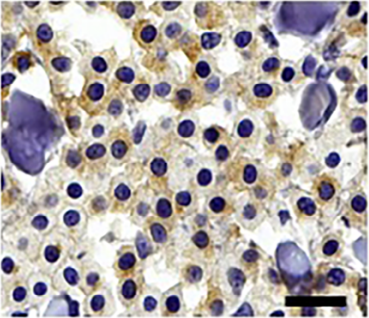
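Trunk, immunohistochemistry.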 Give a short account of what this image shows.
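This is a mast cell tumour made of loosely arranged round cells. Each cell has a round, dark blue nucleus, usually central, surrounded by a rim of pale cytoplasm. Brown stain lies as fine dots and small clumps within the cytoplasm rather than as a continuous line at the cell border. Clear spaces separate many of the cells, and a few large, irregular purple bodies are scattered among them.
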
